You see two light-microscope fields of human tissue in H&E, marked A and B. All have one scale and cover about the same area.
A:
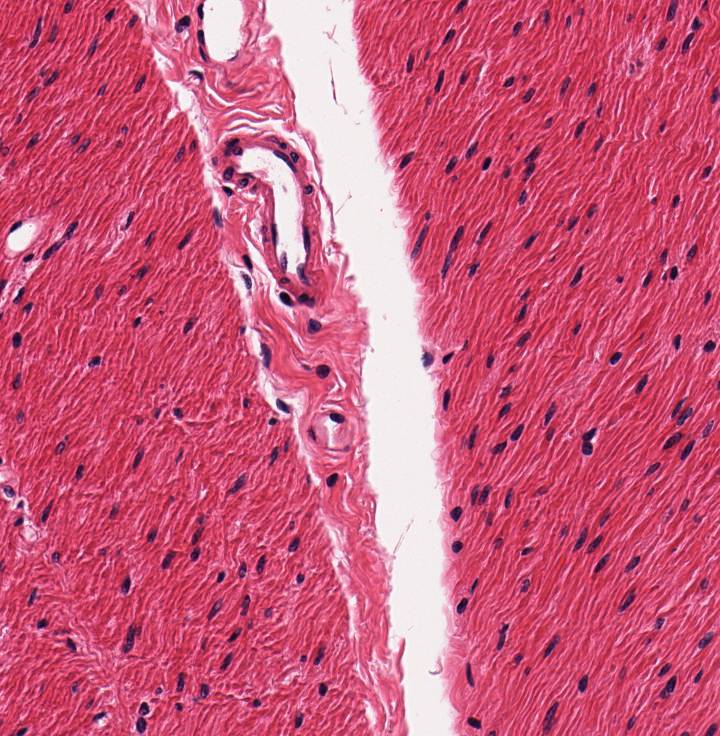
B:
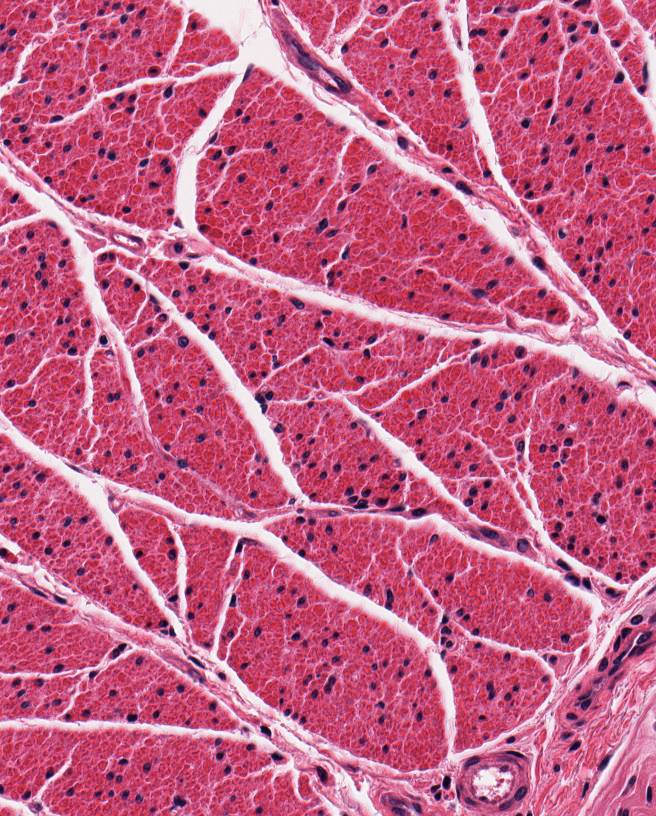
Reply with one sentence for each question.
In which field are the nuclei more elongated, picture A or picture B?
On the whole the nuclei of picture A are more drawn out than those of picture B.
